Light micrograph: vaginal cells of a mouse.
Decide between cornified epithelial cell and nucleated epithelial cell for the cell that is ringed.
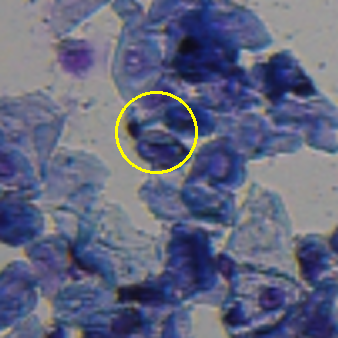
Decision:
I take the ringed cell for a nucleated epithelial cell.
